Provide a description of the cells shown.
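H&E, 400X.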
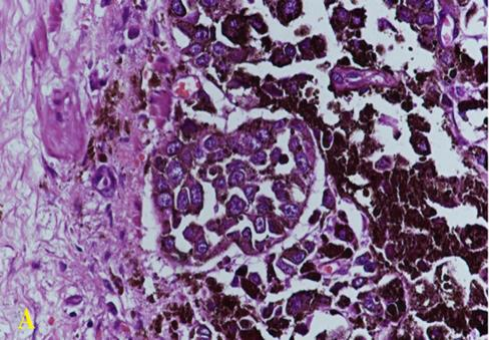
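This is a tumour made of nests of cells with round nuclei, many of which show a prominent nucleolus, and a moderate rim of pink-purple cytoplasm. Coarse dark brown-black pigment packs many of the cells and also lies in clumps between them, so that large areas look almost black. One nest in the middle is outlined by a thin fibrous band, and its cells are less pigmented, so their nuclei are easier to see. At the left edge, loose pale pink connective tissue borders the tumour.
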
